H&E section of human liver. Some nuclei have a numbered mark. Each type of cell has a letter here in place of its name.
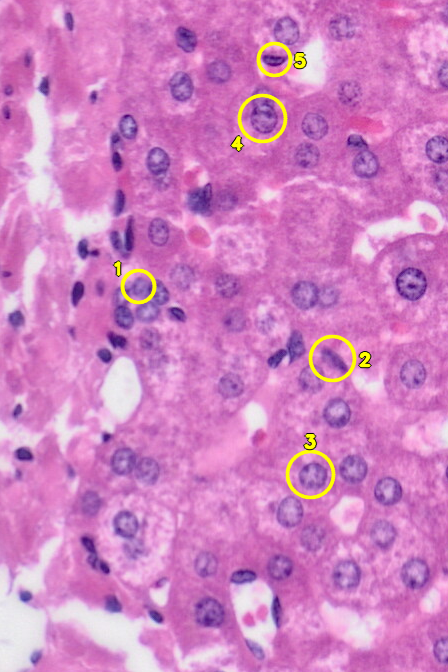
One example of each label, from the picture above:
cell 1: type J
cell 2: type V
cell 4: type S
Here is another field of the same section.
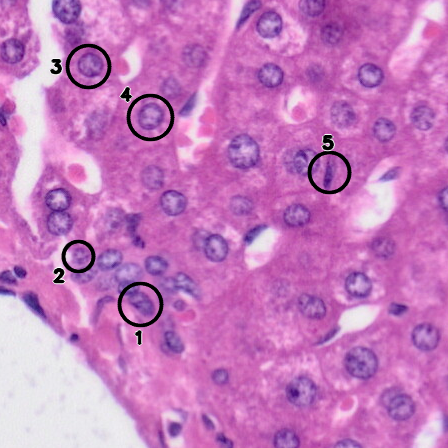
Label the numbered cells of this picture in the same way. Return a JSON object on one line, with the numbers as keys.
{"1": "type J", "2": "type J", "3": "type S", "4": "type S", "5": "type V"}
